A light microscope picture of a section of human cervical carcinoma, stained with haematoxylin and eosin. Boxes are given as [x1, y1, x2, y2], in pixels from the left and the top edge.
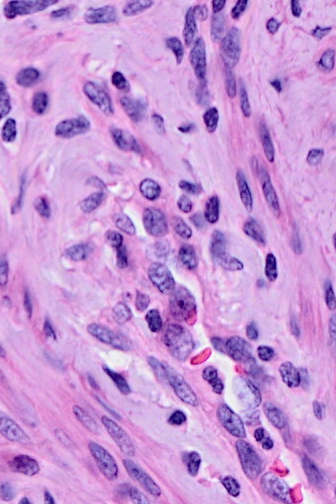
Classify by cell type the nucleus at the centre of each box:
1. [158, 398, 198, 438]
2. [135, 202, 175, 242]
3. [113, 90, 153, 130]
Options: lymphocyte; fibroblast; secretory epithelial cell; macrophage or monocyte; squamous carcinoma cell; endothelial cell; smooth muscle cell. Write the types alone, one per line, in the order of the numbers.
lymphocyte
endothelial cell
endothelial cell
